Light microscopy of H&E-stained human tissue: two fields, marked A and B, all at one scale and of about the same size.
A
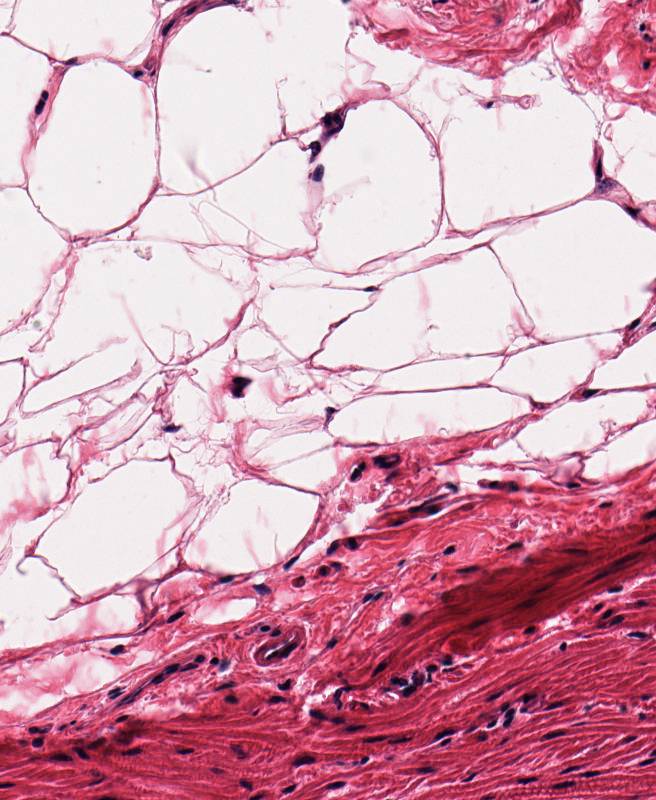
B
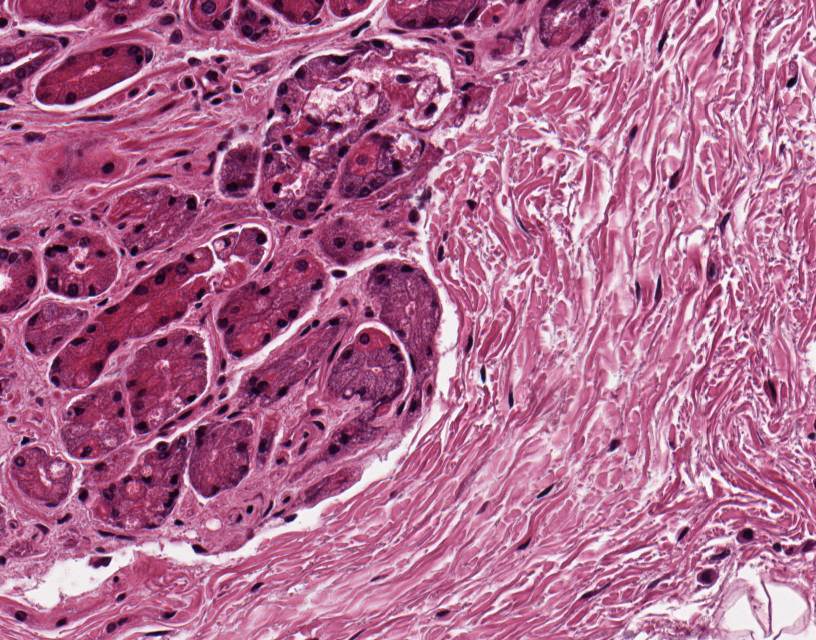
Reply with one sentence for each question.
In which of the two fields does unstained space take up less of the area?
Field B has less white space.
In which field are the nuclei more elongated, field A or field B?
On the whole the nuclei of field A are more drawn out than those of field B.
